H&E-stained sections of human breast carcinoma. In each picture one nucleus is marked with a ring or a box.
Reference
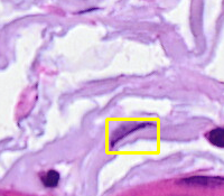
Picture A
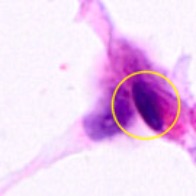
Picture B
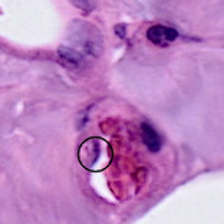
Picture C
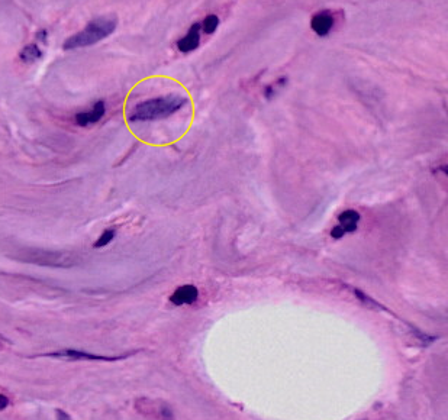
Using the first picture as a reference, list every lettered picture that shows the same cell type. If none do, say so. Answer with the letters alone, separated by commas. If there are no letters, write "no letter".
C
